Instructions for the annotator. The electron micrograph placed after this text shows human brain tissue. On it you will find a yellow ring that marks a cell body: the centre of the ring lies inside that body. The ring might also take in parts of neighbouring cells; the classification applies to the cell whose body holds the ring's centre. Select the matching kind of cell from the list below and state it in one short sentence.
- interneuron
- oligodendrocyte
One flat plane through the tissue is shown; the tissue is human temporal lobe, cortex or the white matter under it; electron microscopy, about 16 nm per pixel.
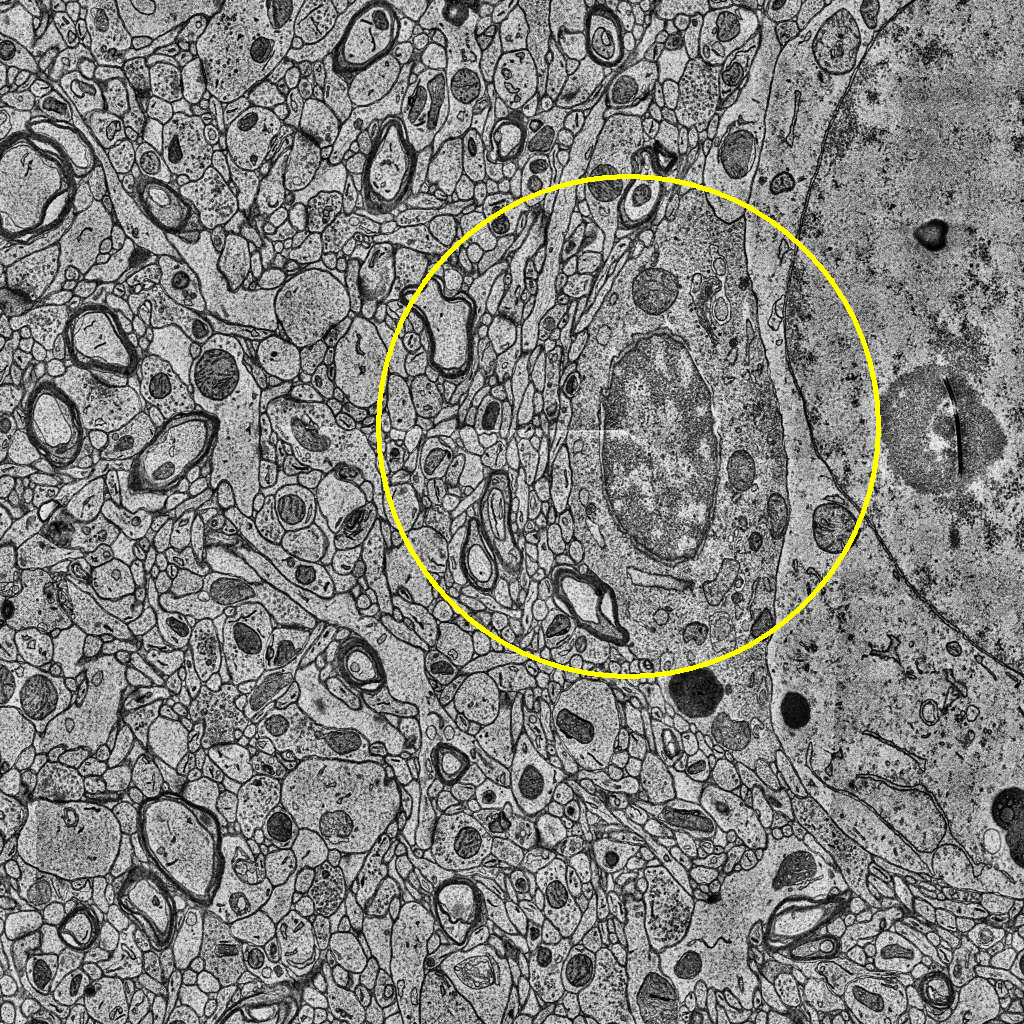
The centre of the ring lies in the cell body of an oligodendrocyte.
